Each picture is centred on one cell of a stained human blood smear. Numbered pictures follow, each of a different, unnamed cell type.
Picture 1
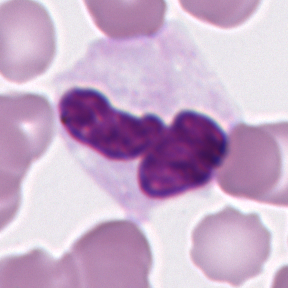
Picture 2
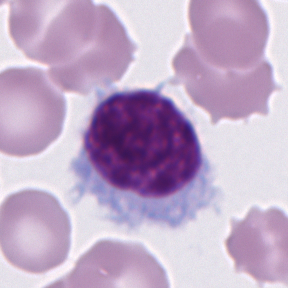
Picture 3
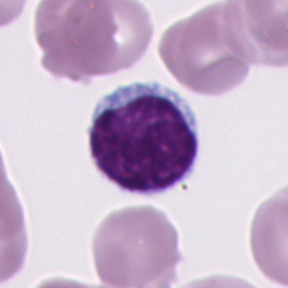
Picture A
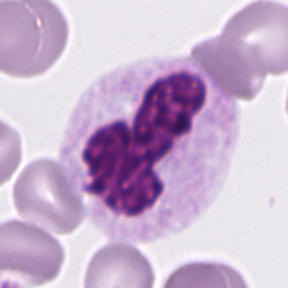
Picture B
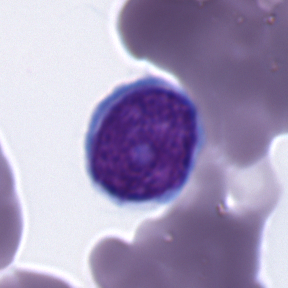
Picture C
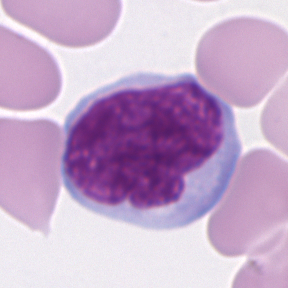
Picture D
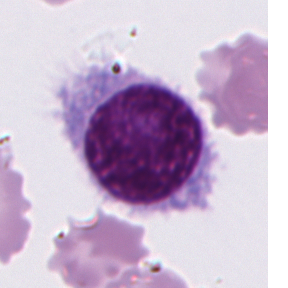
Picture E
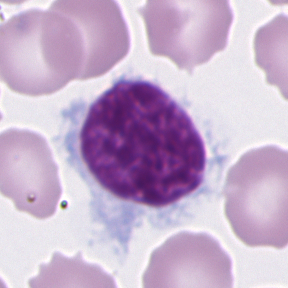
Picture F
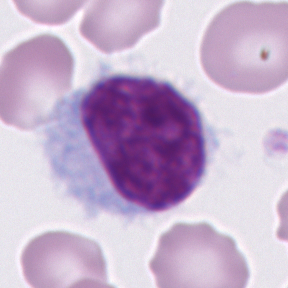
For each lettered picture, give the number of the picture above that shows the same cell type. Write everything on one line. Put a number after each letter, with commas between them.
A 1, B 3, C 3, D 2, E 2, F 2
